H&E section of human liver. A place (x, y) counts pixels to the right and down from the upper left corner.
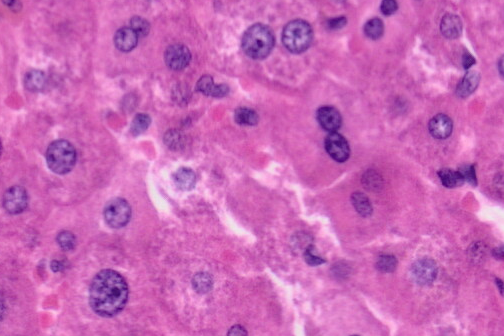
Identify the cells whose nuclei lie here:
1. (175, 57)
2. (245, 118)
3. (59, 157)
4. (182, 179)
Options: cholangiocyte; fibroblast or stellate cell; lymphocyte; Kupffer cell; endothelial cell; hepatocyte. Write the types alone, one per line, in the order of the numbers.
hepatocyte
fibroblast or stellate cell
hepatocyte
hepatocyte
